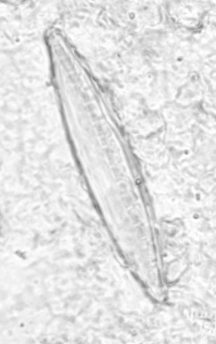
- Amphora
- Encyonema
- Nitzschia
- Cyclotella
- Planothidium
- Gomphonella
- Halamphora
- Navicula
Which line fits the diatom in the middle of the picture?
Nitzschia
